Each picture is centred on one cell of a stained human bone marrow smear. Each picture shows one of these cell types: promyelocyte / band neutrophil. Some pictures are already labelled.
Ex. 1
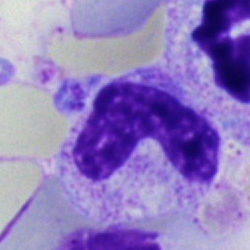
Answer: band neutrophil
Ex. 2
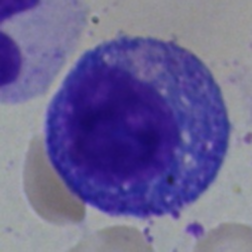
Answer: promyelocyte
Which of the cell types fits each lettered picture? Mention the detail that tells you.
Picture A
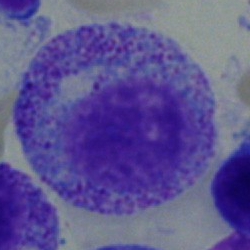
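promyelocyte. The chromatin is fine and evenly spread rather than coarsely clumped.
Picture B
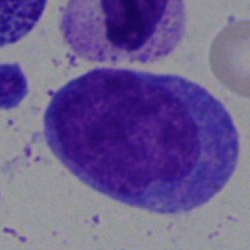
promyelocyte. The chromatin is finely granular and evenly spread rather than clumped.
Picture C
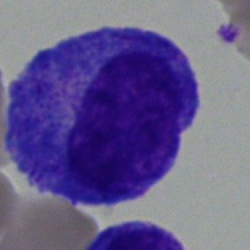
promyelocyte. The nucleus is not indented or divided into lobes.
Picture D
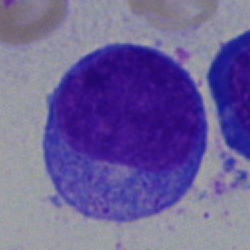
promyelocyte. The chromatin is deep purple and finely stippled rather than clumped.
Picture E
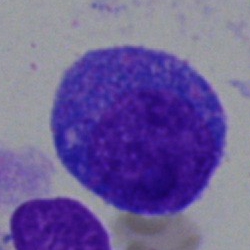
promyelocyte. The chromatin looks finely granular rather than clumped.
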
